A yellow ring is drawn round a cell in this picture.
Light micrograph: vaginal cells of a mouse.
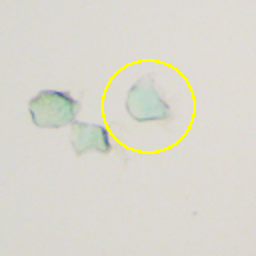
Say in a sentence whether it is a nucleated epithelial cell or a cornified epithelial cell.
The cell in the ring is a cornified epithelial cell.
